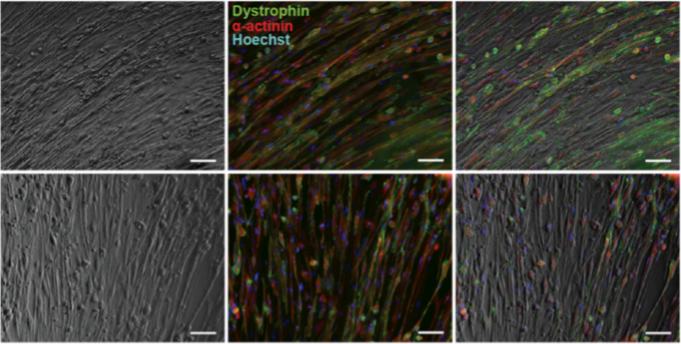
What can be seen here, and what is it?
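These are cultured myotubes, elongated fibres aligned largely in parallel across the field. In bright-field they appear as long, slender spindle-shaped tubes, and in fluorescence red and green run along their lengths with blue nuclei arranged within and between them.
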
